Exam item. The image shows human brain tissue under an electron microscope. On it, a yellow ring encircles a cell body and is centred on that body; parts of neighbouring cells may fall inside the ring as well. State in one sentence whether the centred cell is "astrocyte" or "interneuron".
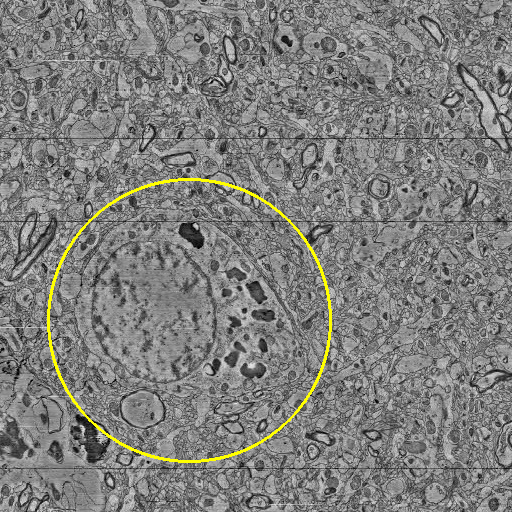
The cell body centred in the ring is an interneuron.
